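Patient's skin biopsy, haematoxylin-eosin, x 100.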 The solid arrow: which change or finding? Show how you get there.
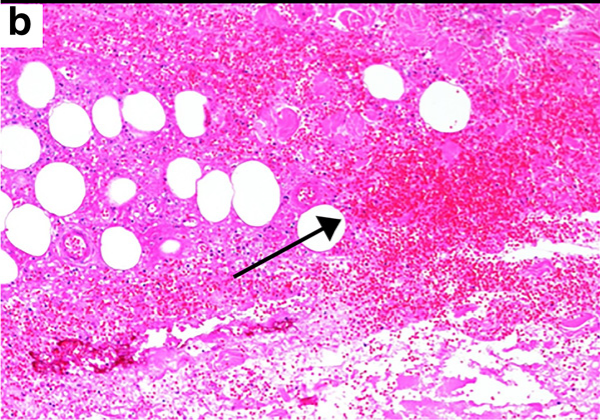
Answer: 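Haematoma. A large sheet of extravasated red blood cells fills the tissue. Fat cells lie beside the blood-filled area.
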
